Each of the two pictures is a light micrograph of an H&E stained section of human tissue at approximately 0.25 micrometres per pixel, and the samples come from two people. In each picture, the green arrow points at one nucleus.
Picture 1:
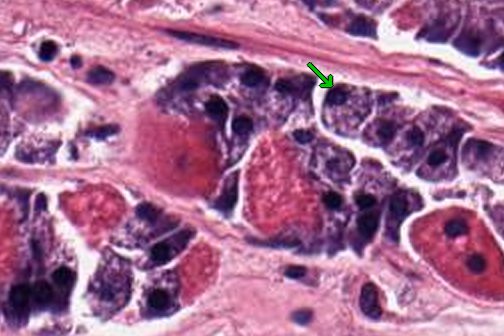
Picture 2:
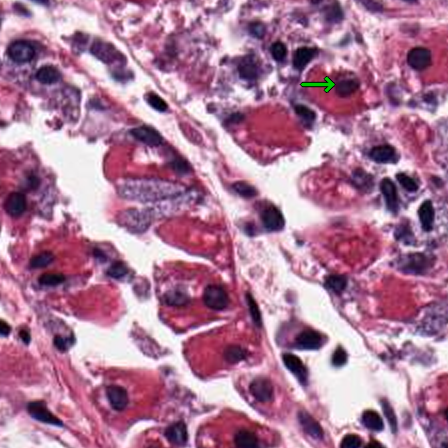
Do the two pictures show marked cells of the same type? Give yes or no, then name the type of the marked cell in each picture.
No, the first is a chief cell and the second a parietal cell.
